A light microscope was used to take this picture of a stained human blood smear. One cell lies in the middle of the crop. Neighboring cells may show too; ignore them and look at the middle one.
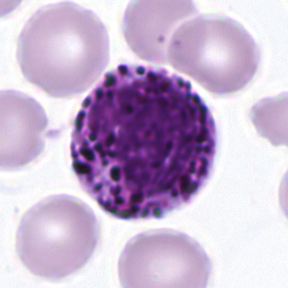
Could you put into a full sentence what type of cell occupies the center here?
Within this crop, a basophil occupies the central position.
